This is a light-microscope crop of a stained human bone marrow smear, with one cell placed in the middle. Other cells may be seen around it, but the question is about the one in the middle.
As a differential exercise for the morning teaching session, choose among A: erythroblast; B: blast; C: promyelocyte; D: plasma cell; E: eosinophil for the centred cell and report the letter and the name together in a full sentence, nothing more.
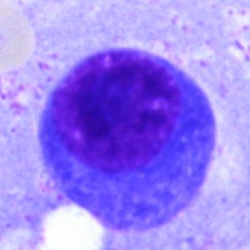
The middle of the crop contains a plasma cell, so option D is right.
